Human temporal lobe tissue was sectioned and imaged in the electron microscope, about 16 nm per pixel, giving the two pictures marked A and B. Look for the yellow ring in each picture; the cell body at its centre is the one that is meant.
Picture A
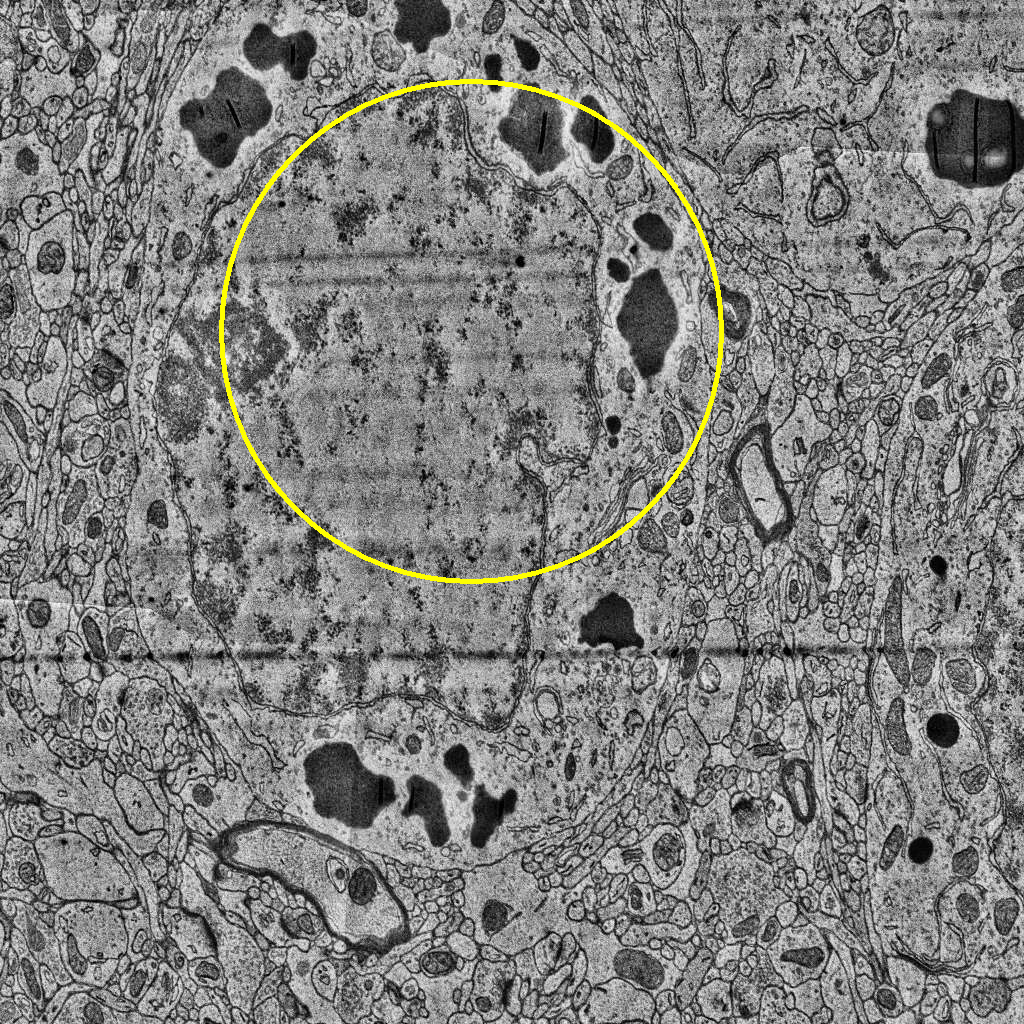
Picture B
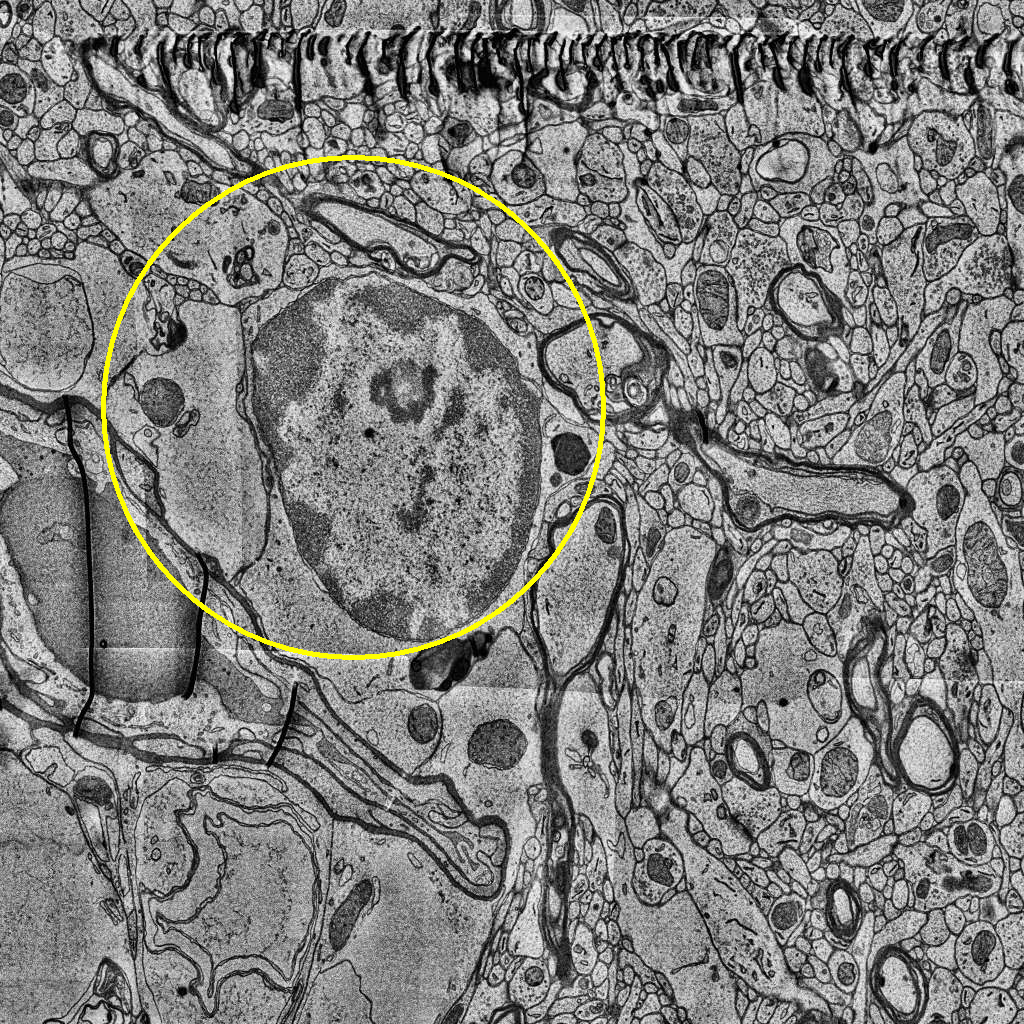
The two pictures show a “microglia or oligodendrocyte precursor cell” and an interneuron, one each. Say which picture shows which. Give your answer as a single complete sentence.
Picture A is of an interneuron, and picture B is of a “microglia or oligodendrocyte precursor cell”.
